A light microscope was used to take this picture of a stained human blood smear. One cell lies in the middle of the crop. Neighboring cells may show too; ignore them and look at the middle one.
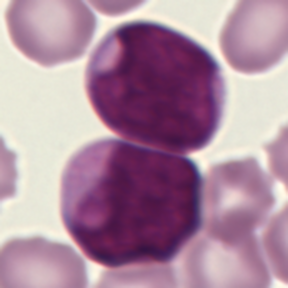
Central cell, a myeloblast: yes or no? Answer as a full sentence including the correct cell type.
Yes, this central cell is a myeloblast.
